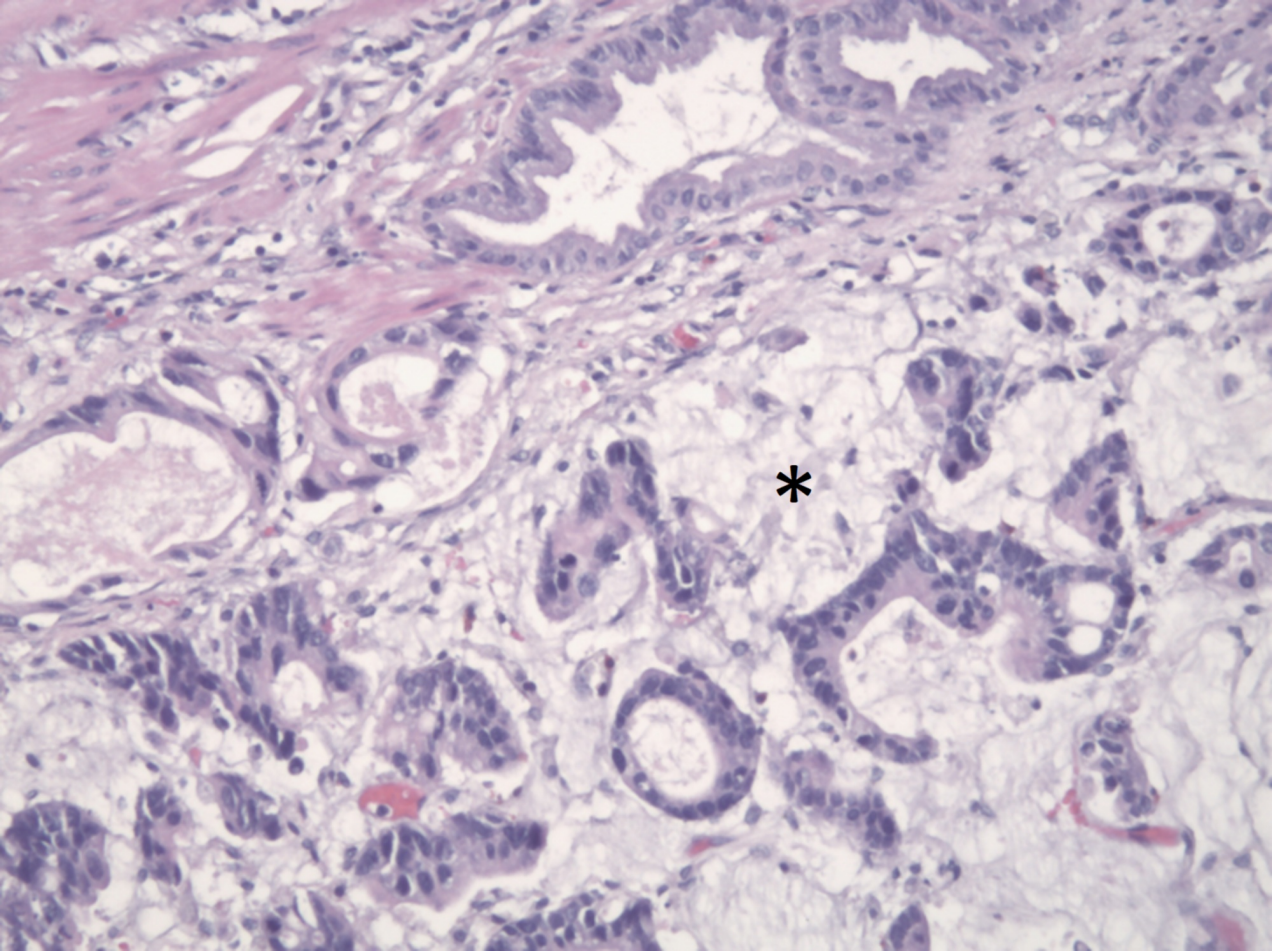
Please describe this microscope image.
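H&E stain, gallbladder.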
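This section shows malignant glandular epithelium in which irregular glands and small clusters of tumour cells lie within pools of pale, wispy extracellular mucin. The tumour cells are columnar to cuboidal, with enlarged, hyperchromatic, crowded and partly stratified nuclei and pink to amphophilic cytoplasm. Some glands have open lumina containing pale mucoid material, while others form solid or cribriform nests. In the upper part, angulated glands lie in a fibrous stroma with pink collagen bundles and scattered small inflammatory cells. In the lower part, the stroma is largely replaced by lakes of pale bluish-grey mucin, in which the epithelial groups appear to float.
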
